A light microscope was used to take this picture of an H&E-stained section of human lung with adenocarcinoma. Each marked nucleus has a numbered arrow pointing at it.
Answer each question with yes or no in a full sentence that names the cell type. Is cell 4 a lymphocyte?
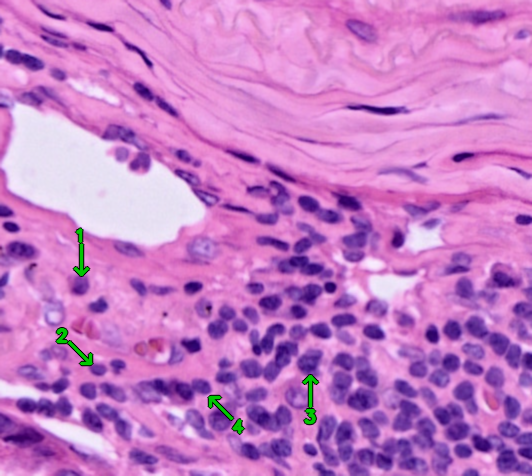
Yes, the marked cell numbered 4 is a lymphocyte.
